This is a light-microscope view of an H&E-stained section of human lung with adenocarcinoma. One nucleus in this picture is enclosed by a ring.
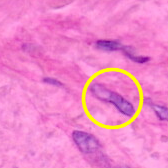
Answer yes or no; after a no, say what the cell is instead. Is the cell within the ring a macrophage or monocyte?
No, it is a smooth muscle cell or pericyte.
